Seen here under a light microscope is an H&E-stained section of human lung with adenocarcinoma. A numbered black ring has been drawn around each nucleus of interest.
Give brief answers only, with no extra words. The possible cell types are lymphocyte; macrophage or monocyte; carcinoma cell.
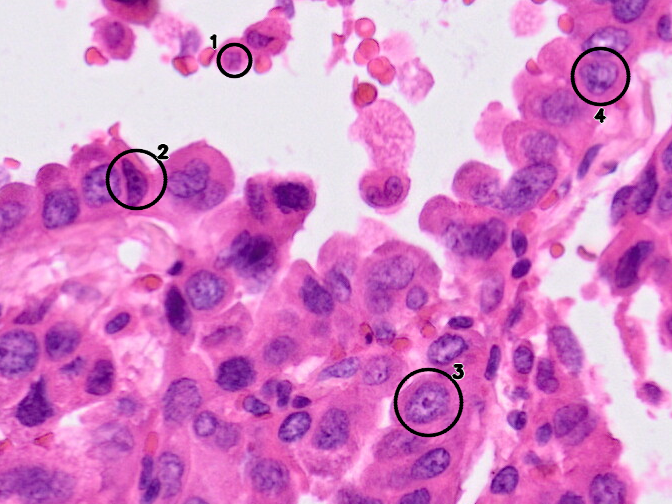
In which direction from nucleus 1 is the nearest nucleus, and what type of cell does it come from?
a macrophage or monocyte; above and to the right of nucleus 1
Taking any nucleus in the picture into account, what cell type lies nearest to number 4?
carcinoma cell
